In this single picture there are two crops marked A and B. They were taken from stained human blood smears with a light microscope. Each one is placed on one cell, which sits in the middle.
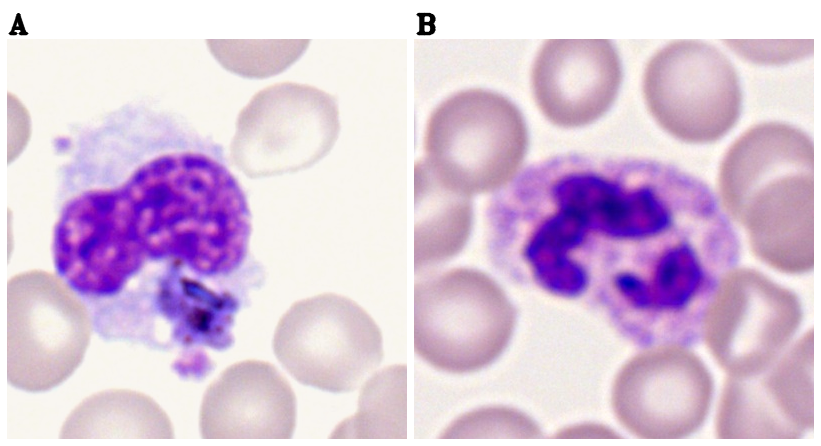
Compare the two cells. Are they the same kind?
no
